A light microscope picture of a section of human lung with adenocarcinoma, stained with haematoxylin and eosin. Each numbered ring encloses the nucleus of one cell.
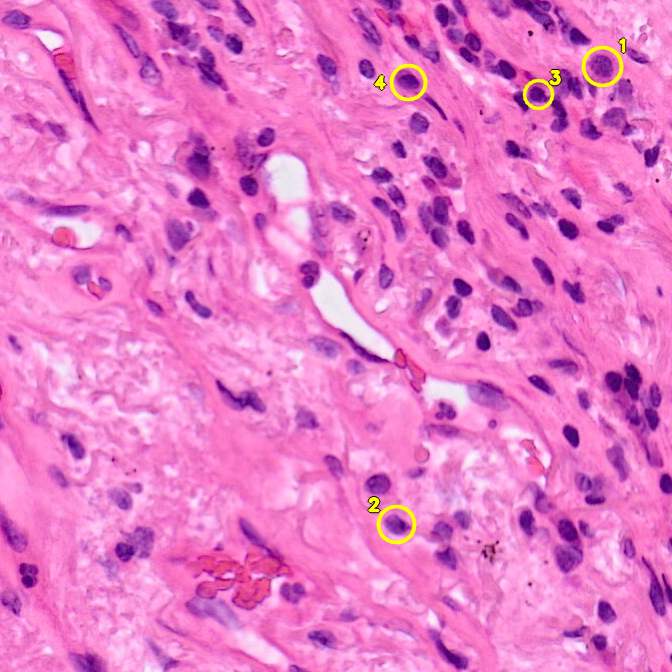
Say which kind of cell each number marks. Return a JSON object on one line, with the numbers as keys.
{"1": "plasma cell", "2": "lymphocyte", "3": "lymphocyte", "4": "plasma cell"}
